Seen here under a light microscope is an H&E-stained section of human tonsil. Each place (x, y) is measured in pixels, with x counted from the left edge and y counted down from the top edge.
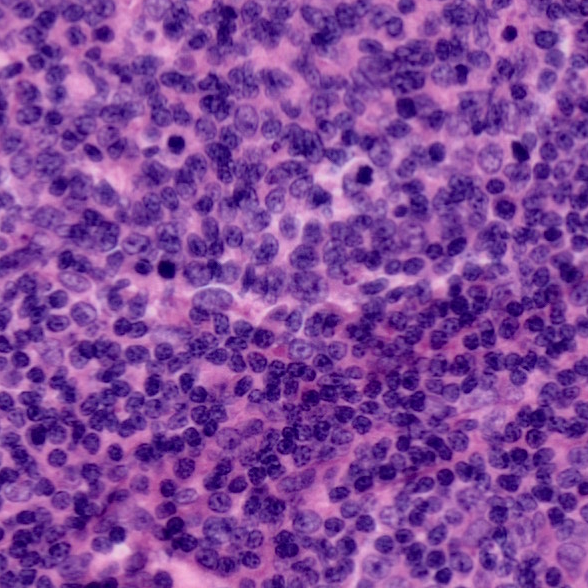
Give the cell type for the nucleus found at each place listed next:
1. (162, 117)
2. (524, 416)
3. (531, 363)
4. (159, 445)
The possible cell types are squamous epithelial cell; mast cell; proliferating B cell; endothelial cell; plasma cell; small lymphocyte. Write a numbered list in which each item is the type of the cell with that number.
1. proliferating B cell
2. small lymphocyte
3. small lymphocyte
4. small lymphocyte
